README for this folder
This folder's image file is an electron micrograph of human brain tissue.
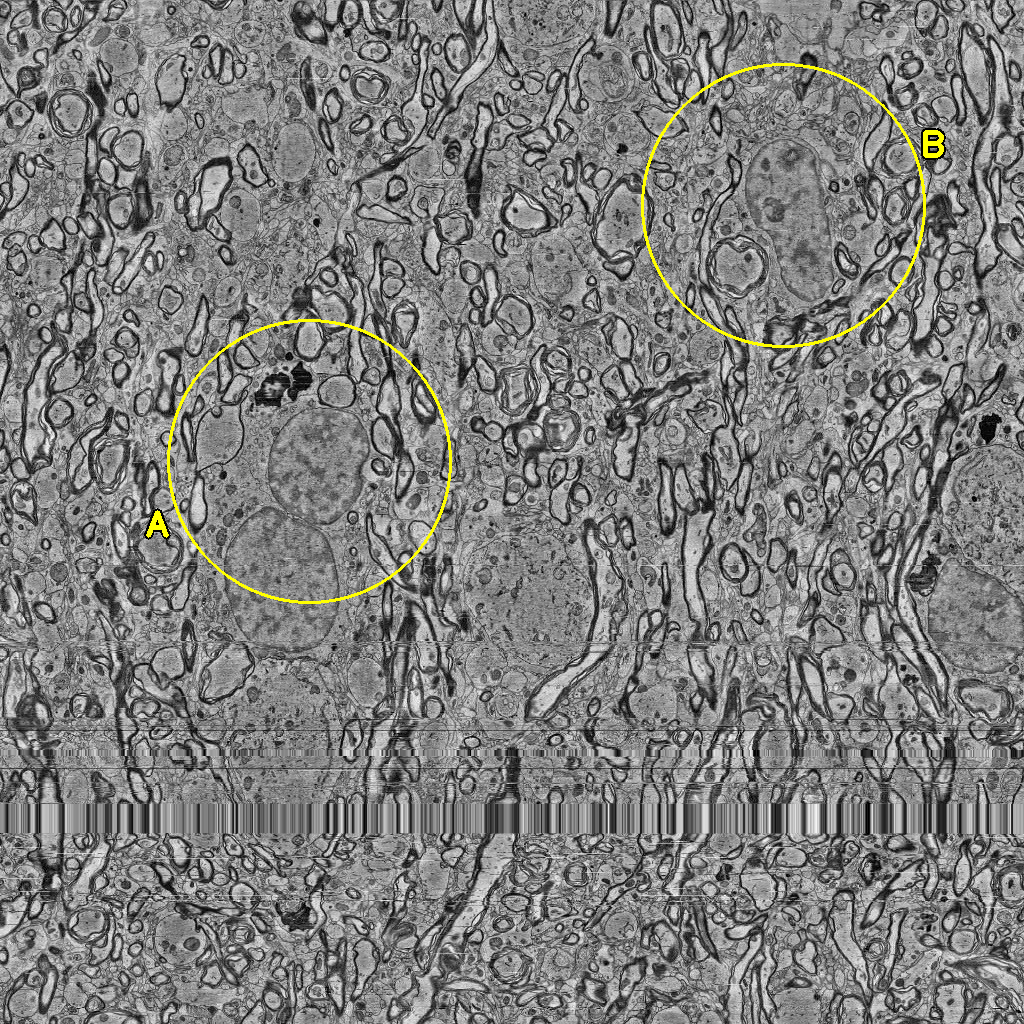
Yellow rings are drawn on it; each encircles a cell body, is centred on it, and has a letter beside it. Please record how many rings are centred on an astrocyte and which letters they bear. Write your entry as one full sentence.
No letter in the micrograph marks a ring centred on an astrocyte, so the count is zero.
